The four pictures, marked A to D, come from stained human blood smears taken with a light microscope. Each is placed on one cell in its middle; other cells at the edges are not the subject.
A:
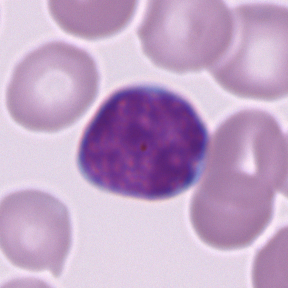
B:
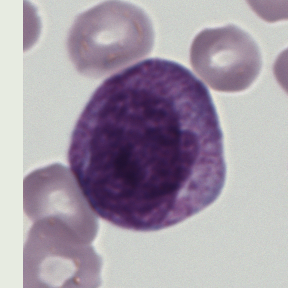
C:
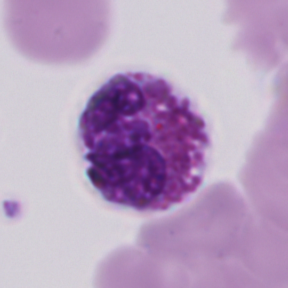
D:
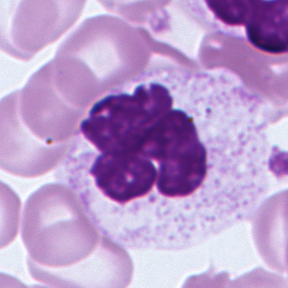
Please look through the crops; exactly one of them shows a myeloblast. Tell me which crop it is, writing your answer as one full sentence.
Among the crops given, only crop A shows a myeloblast.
